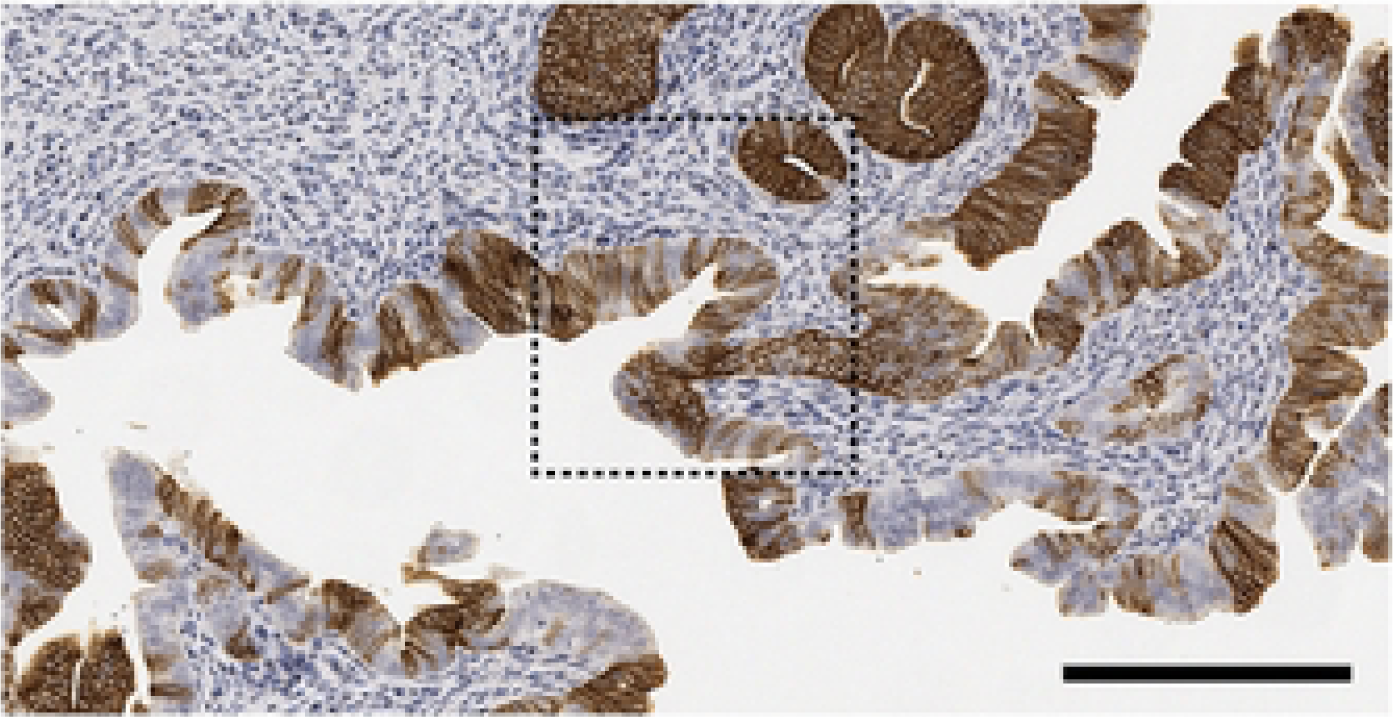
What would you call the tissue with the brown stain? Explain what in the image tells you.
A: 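Luminal and glandular epithelia. Brown stain in the columnar cells lining a large lumen. Brown stain in small round glands within the surrounding tissue. Some lining cells are unstained, in patches.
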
